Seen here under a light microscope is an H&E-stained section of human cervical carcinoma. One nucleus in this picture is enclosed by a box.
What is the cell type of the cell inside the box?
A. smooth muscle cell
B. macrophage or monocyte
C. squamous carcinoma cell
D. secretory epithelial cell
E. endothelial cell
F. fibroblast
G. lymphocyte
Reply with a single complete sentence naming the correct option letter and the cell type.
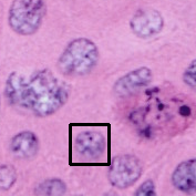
Under option C, the cell inside the box is a squamous carcinoma cell, which is the correct identification.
